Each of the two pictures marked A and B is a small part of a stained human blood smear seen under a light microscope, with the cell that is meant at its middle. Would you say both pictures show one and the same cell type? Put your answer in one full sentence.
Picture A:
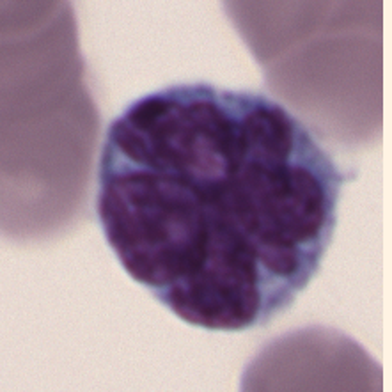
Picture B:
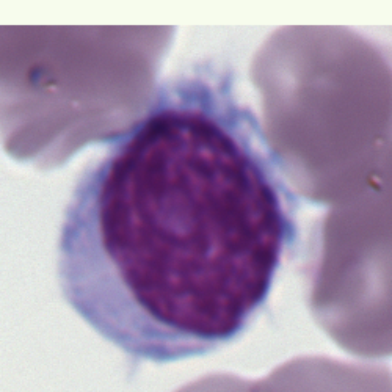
No, the types are not the same, since picture A shows a monocyte and picture B a hairy cell.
